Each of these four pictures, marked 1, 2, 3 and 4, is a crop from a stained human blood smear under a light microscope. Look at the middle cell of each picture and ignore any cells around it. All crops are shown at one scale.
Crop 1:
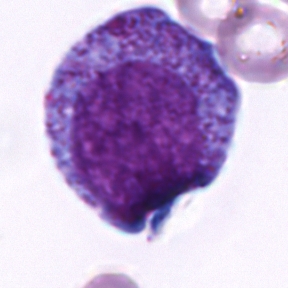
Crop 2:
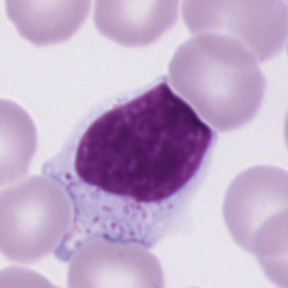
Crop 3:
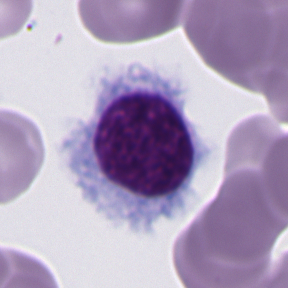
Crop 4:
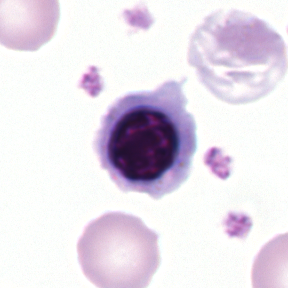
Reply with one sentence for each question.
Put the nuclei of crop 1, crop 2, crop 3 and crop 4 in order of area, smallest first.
The order is 4, 3, 2, 1, beginning with the smallest.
